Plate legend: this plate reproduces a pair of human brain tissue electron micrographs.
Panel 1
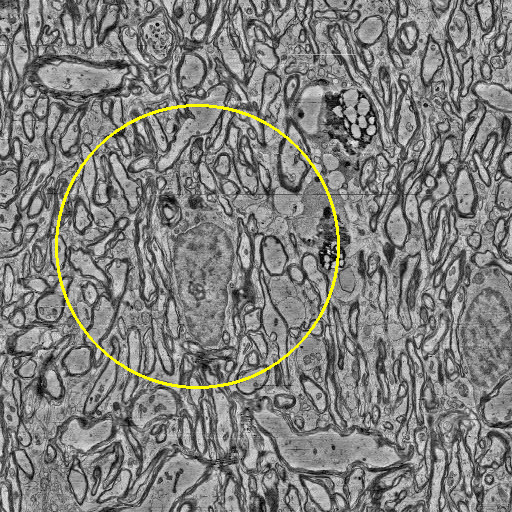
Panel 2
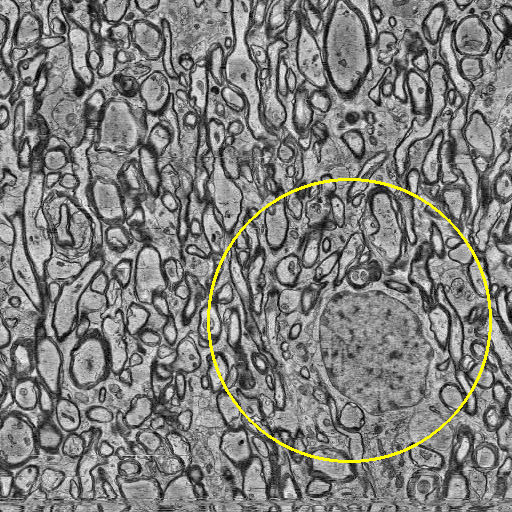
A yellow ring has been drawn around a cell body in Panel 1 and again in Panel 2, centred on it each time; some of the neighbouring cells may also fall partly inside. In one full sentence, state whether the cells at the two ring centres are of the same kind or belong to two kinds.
The ring-centred cells of Panel 1 and Panel 2 belong to two kinds.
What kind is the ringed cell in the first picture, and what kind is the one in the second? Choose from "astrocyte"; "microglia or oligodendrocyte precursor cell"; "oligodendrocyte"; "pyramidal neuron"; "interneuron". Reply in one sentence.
The first cell is an oligodendrocyte; the second is a microglial cell or oligodendrocyte precursor cell.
